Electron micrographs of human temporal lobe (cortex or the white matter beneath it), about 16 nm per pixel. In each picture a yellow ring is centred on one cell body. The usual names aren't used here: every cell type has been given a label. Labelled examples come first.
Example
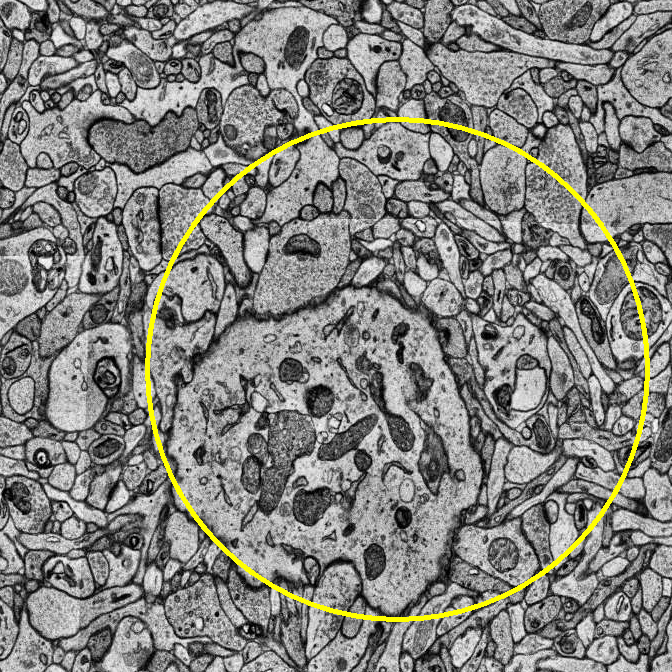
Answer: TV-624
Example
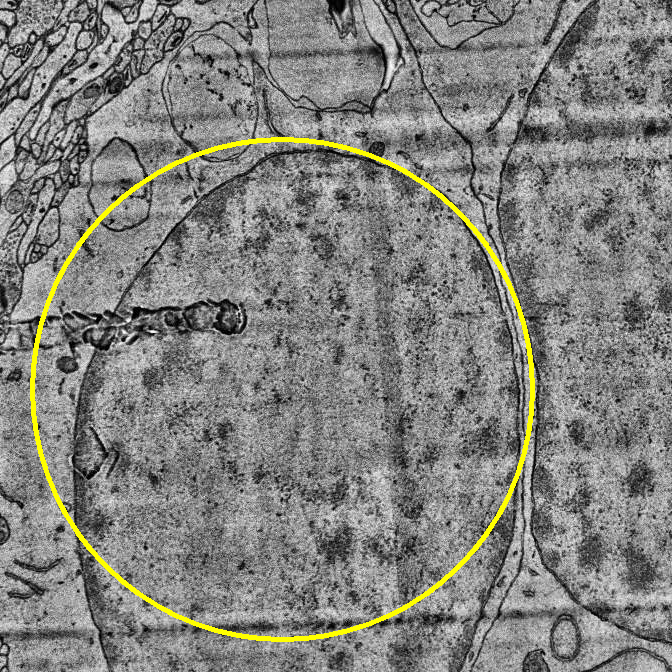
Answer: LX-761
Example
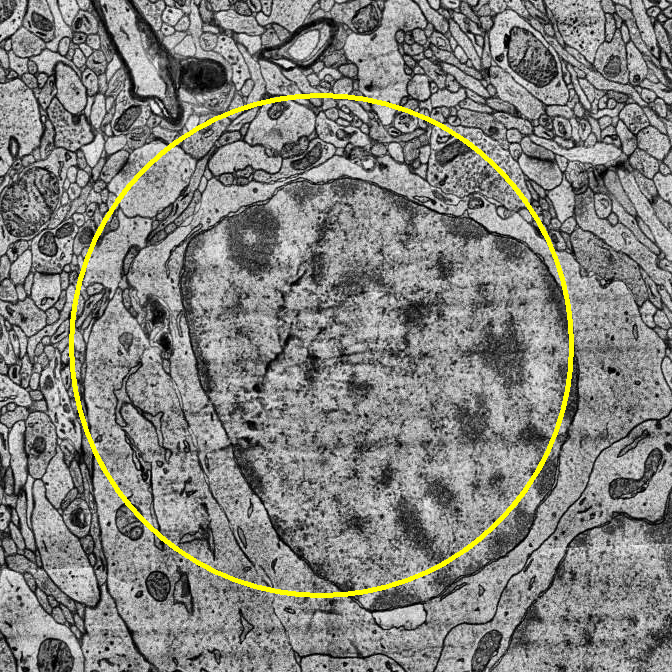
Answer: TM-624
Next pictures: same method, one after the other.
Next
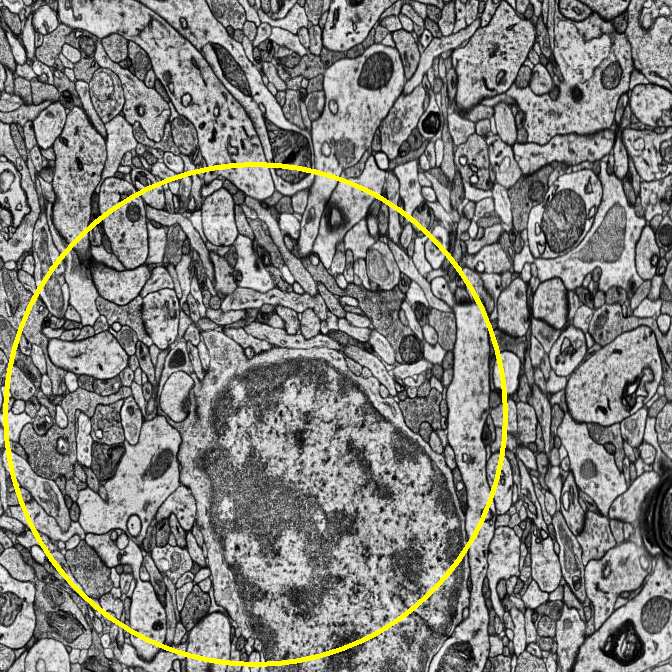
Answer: TM-624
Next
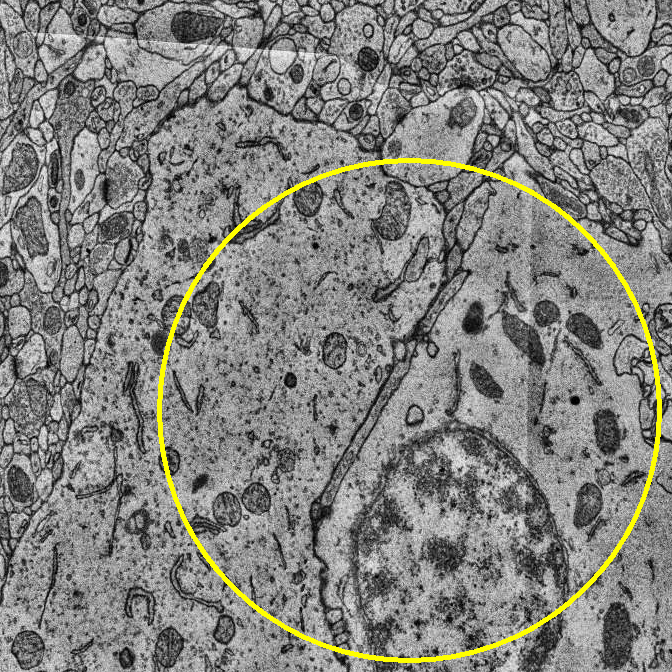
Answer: LX-761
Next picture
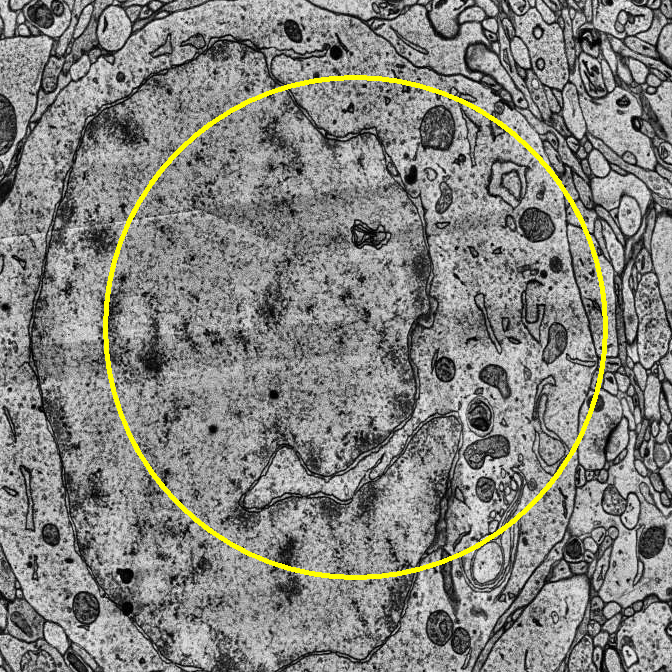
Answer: TV-624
